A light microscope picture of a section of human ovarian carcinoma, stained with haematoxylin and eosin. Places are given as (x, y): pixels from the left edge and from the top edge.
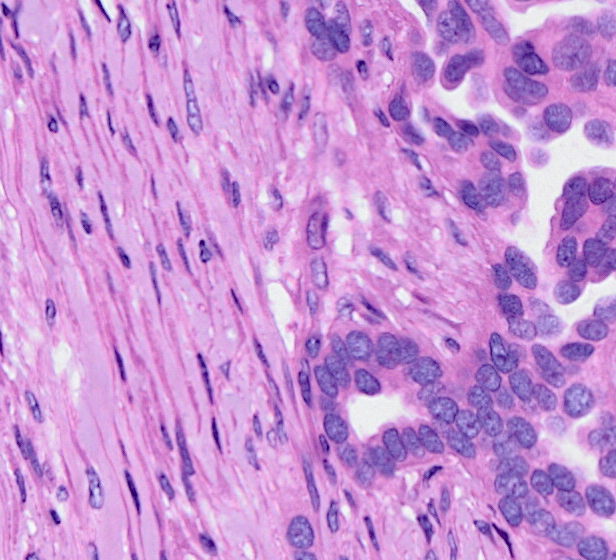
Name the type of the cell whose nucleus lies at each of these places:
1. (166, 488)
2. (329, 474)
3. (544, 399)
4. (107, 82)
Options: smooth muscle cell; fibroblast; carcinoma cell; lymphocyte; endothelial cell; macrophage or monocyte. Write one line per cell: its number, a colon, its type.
1: fibroblast
2: fibroblast
3: carcinoma cell
4: fibroblast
